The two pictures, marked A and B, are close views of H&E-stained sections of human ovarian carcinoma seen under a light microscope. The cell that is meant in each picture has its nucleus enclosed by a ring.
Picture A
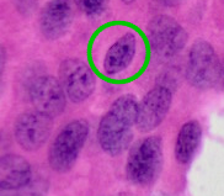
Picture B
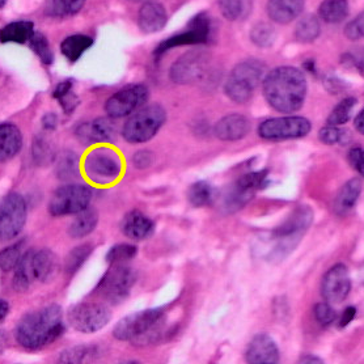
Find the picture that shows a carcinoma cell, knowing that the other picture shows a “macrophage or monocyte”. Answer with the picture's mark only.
B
